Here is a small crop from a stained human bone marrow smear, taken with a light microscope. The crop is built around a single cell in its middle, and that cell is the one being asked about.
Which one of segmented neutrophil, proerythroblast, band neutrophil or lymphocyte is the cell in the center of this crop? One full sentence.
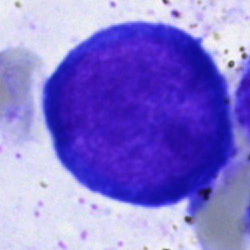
The cell at the central position in this crop is a proerythroblast.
